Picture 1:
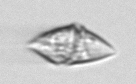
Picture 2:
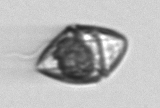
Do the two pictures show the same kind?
Yes, both are Gyrodinium.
